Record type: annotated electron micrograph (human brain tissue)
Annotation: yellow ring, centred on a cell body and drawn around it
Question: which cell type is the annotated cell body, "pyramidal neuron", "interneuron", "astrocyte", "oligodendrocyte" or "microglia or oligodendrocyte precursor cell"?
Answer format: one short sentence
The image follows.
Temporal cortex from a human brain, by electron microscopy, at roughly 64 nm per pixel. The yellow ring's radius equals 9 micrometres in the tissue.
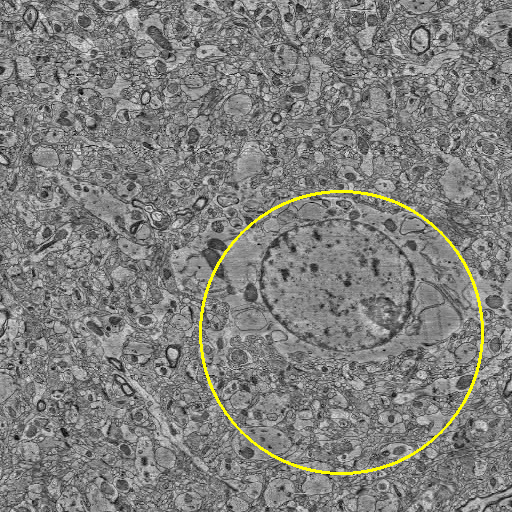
The annotated cell body is that of an astrocyte.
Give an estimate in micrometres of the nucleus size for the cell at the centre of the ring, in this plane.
The nucleus is approximately 10 micrometers long by 9 micrometers wide in this plane.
